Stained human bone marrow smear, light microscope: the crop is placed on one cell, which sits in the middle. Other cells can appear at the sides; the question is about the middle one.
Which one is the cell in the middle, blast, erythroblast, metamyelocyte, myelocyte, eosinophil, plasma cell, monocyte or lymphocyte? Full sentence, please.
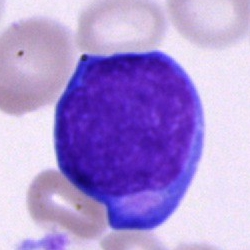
In this smear crop, the middle cell is a blast.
